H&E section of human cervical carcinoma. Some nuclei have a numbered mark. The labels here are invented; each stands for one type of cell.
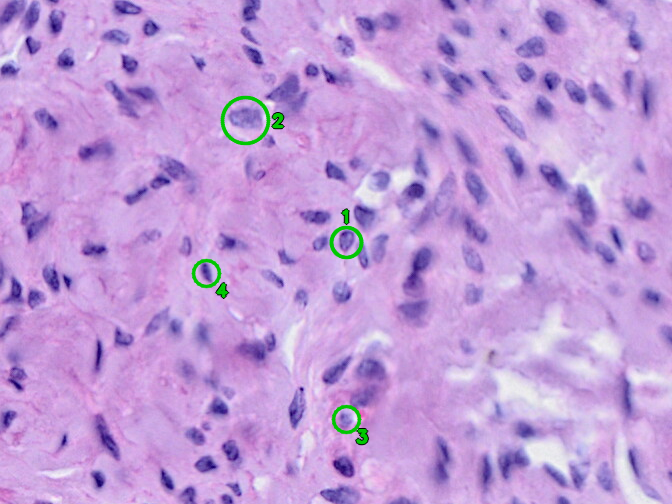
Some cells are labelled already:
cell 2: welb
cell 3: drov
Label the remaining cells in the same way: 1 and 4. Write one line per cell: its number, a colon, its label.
1: welb
4: welb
